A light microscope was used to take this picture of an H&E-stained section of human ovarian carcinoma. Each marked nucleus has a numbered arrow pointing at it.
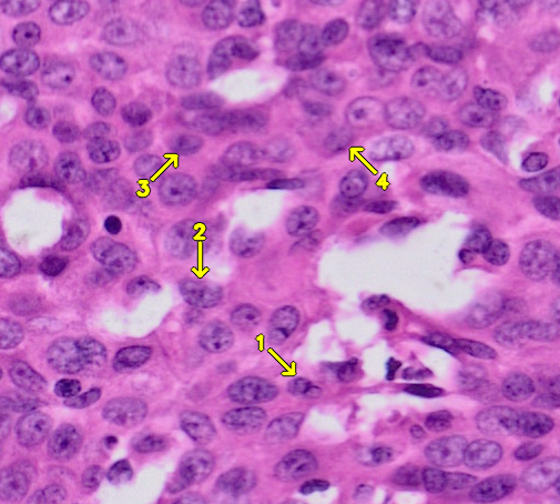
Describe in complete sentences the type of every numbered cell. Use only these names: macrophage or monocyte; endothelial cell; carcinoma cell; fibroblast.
Cell 1 is a macrophage or monocyte, cell 2 is a carcinoma cell, cell 3 is a carcinoma cell and cell 4 is a carcinoma cell.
